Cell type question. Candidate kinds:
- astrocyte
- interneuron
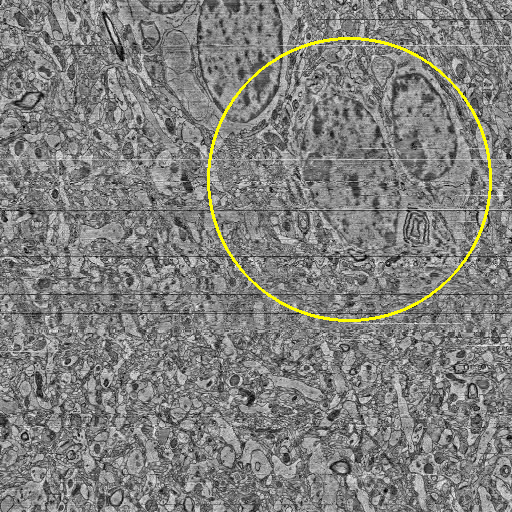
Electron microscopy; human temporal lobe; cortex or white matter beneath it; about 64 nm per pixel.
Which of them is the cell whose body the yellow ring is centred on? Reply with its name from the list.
astrocyte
